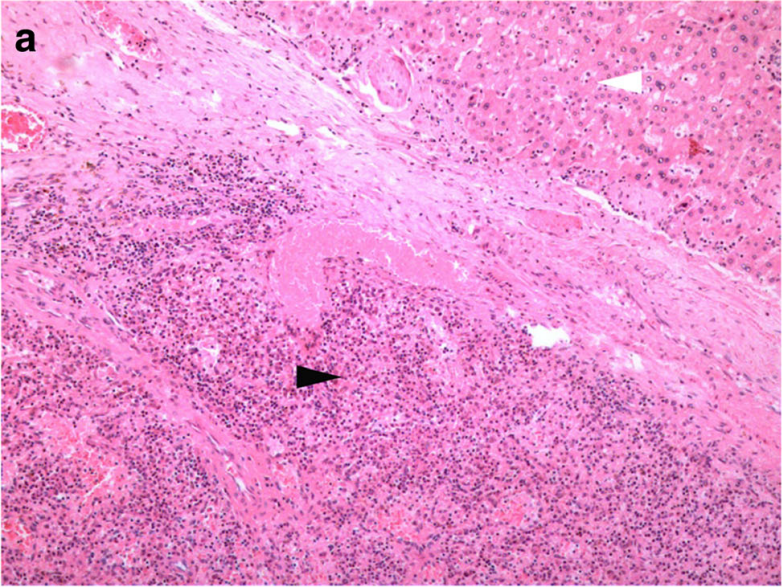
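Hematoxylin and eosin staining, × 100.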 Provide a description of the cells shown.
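Here two different tissues meet along a fibrous capsule: liver above and right, spleen below and left. A broad band of pale pink fibrous tissue with thin, elongated nuclei runs diagonally across the field and cleanly divides the two. Below it, the splenic tissue is far more cellular, packed with small dark purple nuclei, with red blood-filled areas and vessels scattered through it, some containing pink amorphous material.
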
